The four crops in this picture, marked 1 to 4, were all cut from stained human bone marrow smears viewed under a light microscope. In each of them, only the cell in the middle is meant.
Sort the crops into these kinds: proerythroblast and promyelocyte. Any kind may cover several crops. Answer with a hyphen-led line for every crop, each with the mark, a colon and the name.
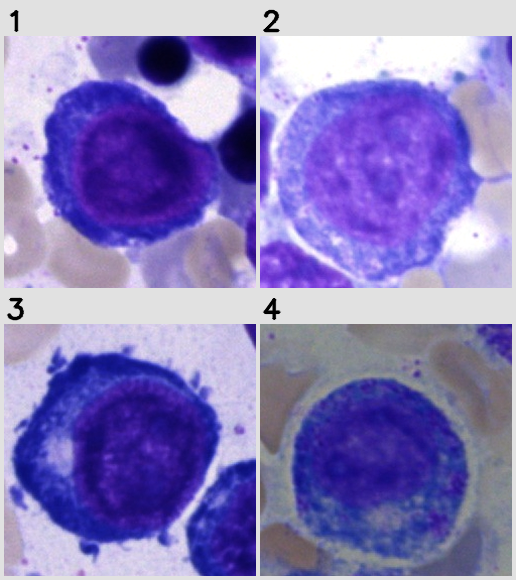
- 1: proerythroblast
- 2: proerythroblast
- 3: proerythroblast
- 4: promyelocyte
